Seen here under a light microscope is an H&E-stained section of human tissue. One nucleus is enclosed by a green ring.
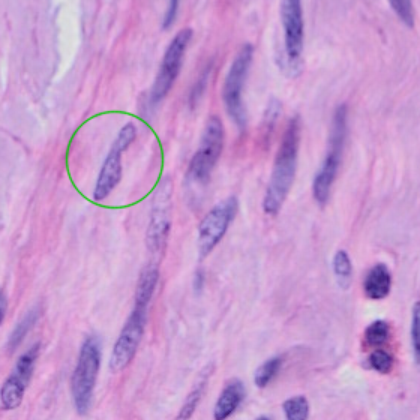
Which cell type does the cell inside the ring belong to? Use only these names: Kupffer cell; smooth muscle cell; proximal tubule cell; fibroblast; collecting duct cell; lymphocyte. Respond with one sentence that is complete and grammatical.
In this tissue section, the cell inside the ring is to be classed as a smooth muscle cell.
